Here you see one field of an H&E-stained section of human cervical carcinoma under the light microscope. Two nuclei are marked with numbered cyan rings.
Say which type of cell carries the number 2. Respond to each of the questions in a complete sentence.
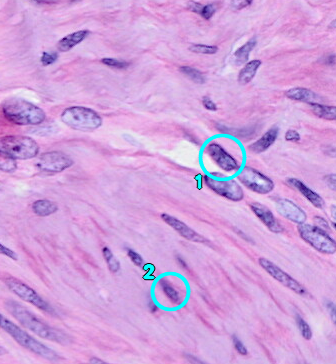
Cell 2 should be recorded as a smooth muscle cell.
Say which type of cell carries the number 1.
The cell assigned the number 1 is an endothelial cell.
